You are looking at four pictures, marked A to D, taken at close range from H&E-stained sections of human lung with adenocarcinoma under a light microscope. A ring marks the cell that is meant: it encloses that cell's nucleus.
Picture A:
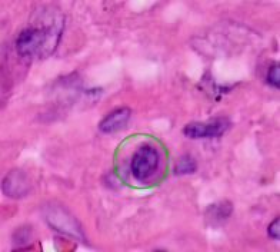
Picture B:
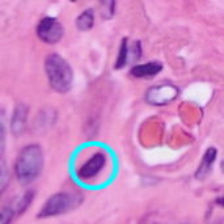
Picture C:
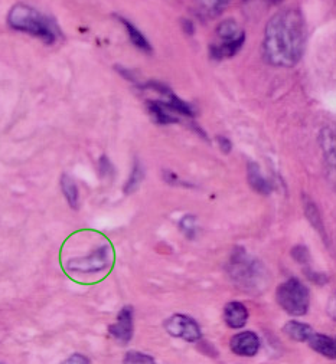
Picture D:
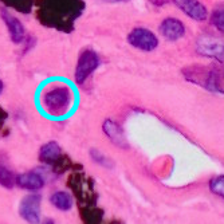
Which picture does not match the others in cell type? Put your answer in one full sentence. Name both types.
The others show plasma cells, but picture C shows a fibroblast.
